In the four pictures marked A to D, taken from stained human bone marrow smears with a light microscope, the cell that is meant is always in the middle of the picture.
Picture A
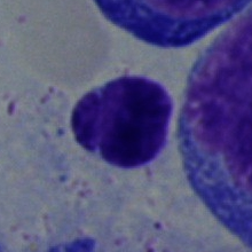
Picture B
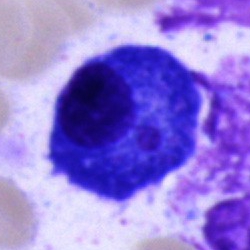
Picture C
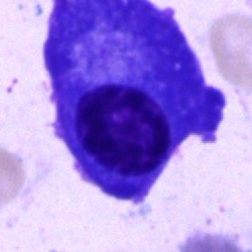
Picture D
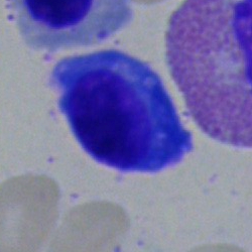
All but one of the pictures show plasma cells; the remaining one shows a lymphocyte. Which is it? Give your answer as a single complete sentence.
Picture A shows the lymphocyte.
